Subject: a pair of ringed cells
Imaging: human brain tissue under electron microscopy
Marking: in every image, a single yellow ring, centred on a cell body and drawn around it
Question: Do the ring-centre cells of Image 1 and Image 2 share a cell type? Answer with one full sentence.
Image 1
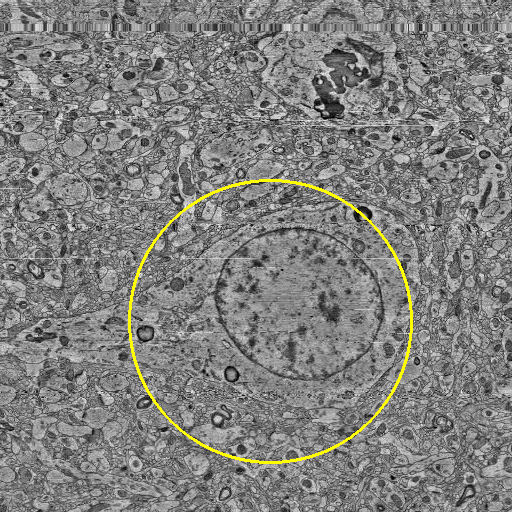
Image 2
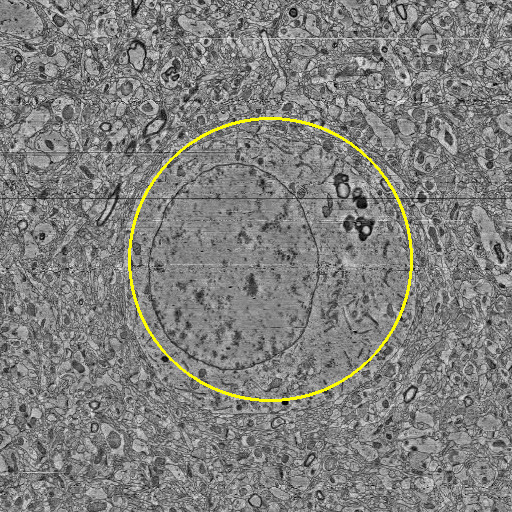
Yes, at each ring's centre in the images sits a cell of one common type.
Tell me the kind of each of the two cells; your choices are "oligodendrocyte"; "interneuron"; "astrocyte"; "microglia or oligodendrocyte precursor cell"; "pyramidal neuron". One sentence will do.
Each one of the two ringed cells is a pyramidal neuron.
